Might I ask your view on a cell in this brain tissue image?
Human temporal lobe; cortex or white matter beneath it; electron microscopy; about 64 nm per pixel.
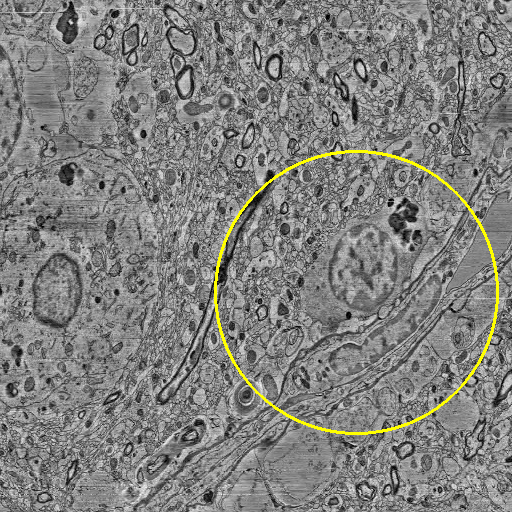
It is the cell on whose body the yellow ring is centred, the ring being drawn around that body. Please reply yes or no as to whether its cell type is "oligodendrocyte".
yes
